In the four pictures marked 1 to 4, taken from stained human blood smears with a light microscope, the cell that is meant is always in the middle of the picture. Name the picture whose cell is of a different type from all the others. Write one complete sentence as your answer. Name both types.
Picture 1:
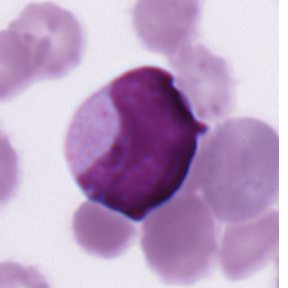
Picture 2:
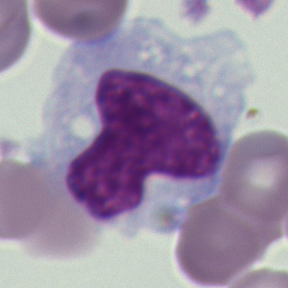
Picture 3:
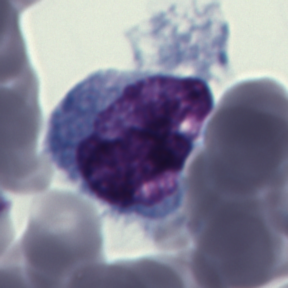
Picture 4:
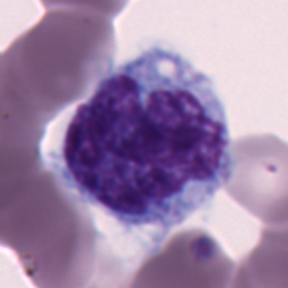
The others show monocytes, but picture 1 shows a myeloblast.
